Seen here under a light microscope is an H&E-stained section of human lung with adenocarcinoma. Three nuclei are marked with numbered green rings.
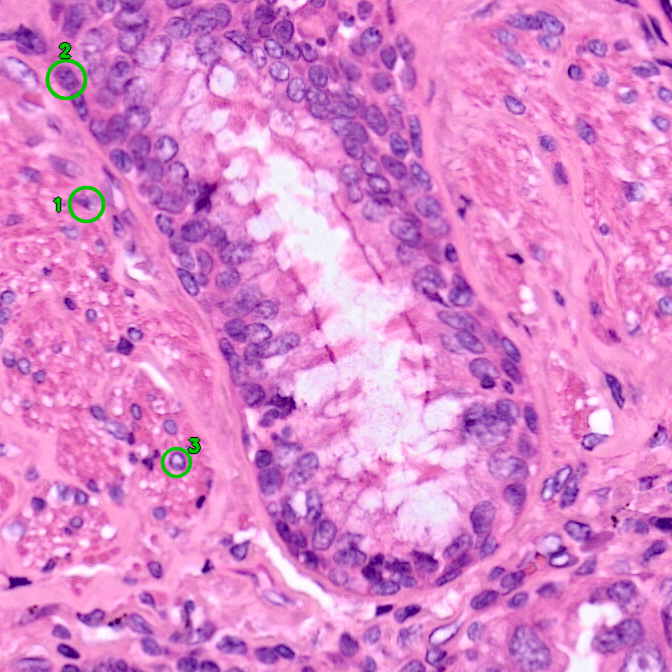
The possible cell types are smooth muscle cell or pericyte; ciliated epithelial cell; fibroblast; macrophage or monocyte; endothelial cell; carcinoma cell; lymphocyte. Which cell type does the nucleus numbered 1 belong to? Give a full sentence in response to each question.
The identity of cell 1 is that of a smooth muscle cell or pericyte.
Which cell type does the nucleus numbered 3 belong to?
Cell number 3 in this section is a smooth muscle cell or pericyte.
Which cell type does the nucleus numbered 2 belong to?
Nucleus 2 in this section belongs to a ciliated epithelial cell.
